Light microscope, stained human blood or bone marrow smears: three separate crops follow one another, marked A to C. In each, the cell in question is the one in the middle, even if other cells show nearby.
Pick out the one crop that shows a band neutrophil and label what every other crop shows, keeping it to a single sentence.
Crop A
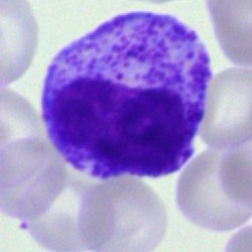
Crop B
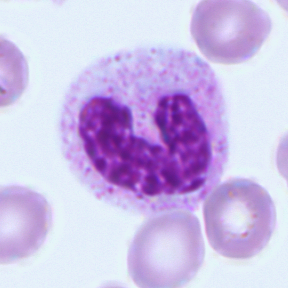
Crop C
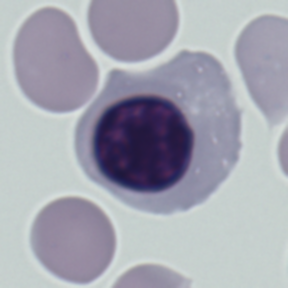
On inspection, crop B shows a band neutrophil, while crop A is a metamyelocyte and crop C is an erythroblast.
